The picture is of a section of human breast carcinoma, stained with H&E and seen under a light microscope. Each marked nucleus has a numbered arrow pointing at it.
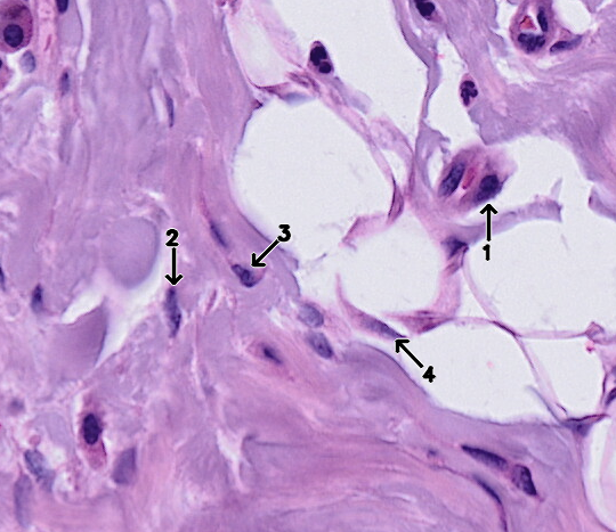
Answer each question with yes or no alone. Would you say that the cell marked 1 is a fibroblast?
no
